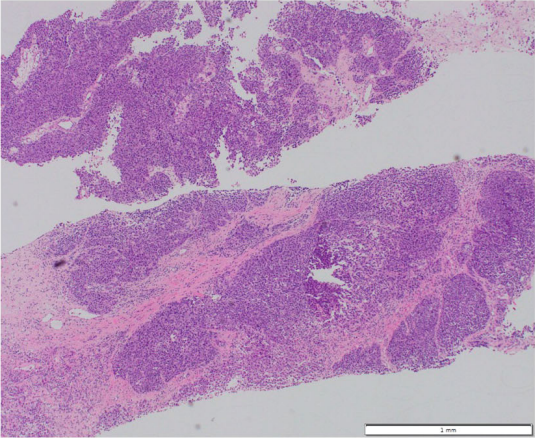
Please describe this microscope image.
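Two long, narrow strips of tissue are crowded with purple nests and sheets of densely packed cells with dark nuclei, separated by bands of pale pink fibrous stroma. The tumor cells form solid, confluent masses with little glandular arrangement, as seen in a needle core of invasive carcinoma.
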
